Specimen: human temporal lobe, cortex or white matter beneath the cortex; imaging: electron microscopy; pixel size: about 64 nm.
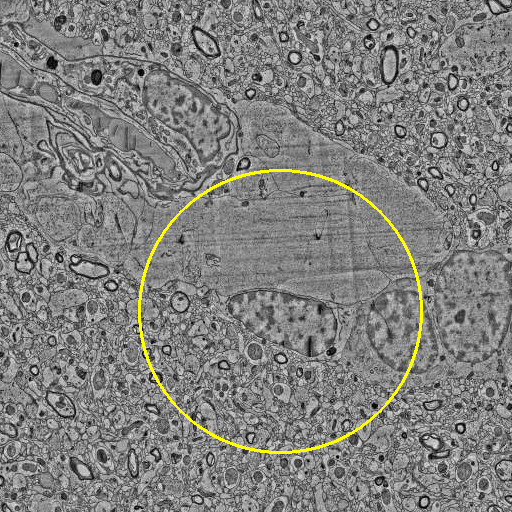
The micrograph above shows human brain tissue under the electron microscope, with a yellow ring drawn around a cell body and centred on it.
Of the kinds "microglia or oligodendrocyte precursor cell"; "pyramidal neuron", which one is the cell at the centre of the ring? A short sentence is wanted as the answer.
The one at the centre of the ring is a microglial cell or oligodendrocyte precursor cell.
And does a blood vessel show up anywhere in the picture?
Yes.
